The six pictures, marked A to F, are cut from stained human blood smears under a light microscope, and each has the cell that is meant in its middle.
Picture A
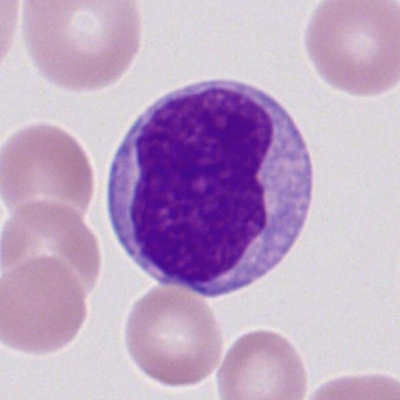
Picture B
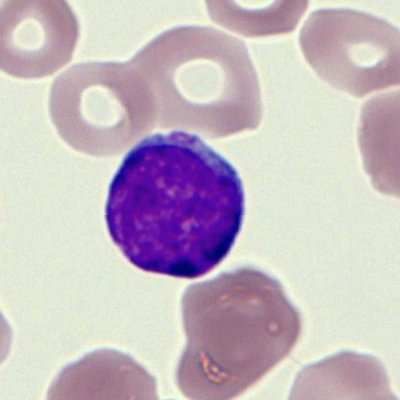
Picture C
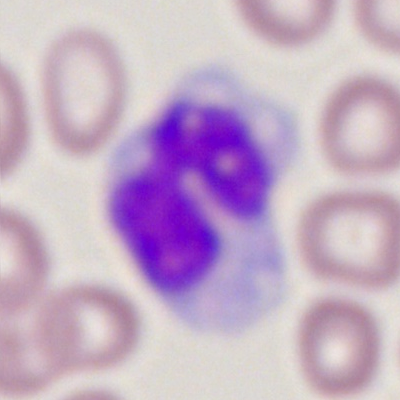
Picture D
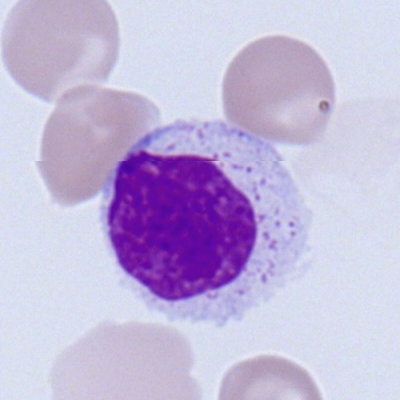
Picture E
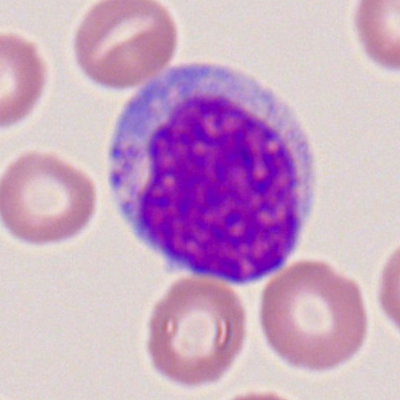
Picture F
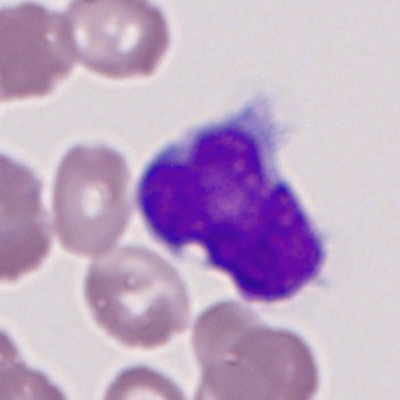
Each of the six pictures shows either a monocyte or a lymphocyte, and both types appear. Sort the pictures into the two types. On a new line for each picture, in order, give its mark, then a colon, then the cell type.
A: monocyte
B: lymphocyte
C: monocyte
D: lymphocyte
E: monocyte
F: lymphocyte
